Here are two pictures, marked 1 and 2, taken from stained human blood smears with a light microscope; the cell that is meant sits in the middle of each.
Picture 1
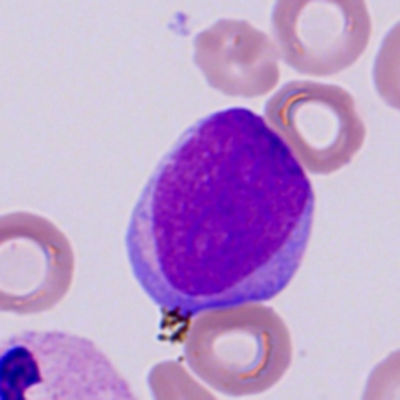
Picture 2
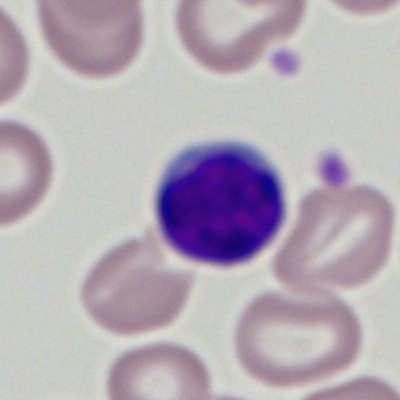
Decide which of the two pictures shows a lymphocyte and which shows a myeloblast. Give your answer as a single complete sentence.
Picture 2 shows a lymphocyte, while picture 1 shows a myeloblast.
